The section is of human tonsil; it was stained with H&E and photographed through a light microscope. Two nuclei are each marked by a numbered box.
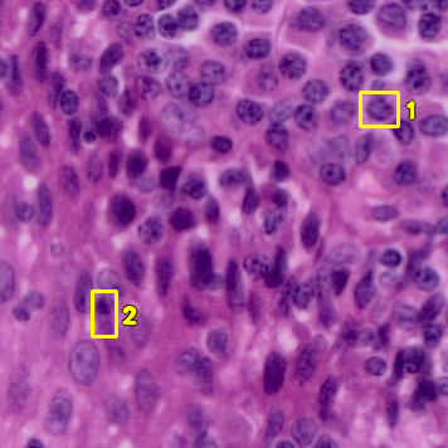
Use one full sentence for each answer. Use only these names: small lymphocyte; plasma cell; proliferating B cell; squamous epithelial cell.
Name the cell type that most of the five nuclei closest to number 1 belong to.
Of the five nuclei nearest to number 1, most belong to plasma cells.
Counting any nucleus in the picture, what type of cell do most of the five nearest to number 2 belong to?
Most of the five nuclei nearest to number 2 are those of squamous epithelial cells.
